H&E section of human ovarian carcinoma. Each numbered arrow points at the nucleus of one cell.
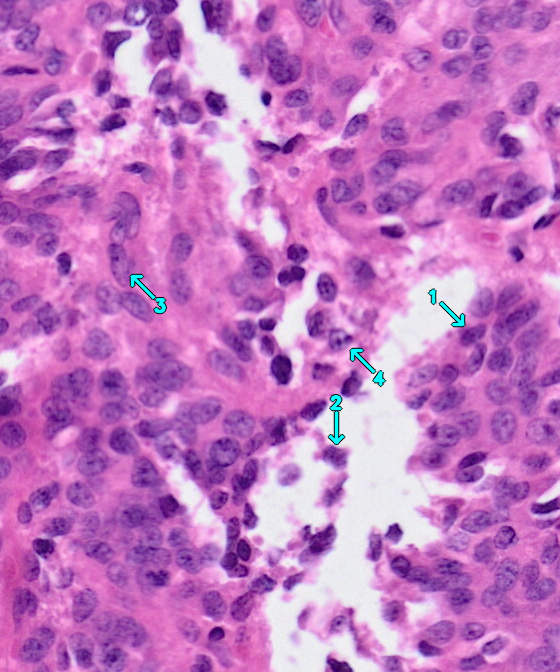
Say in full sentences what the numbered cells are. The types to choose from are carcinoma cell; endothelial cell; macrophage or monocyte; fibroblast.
Cells 1 and 4 are macrophages or monocytes. Cell 2 is a carcinoma cell. Cell 3 is an endothelial cell.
